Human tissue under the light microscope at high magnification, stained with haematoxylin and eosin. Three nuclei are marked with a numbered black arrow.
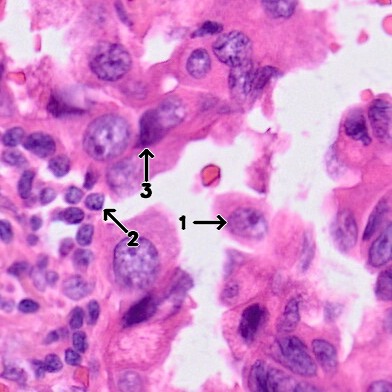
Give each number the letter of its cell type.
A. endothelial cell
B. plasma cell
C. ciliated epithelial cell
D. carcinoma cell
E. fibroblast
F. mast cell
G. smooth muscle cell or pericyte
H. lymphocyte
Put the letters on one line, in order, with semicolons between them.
D; H; D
